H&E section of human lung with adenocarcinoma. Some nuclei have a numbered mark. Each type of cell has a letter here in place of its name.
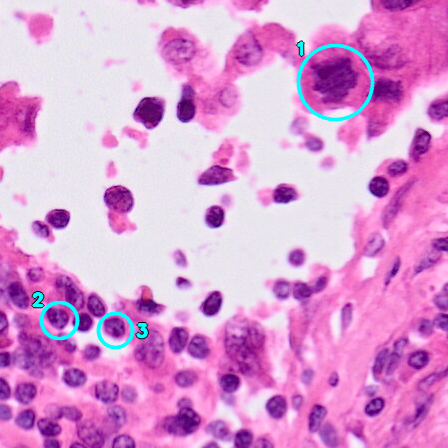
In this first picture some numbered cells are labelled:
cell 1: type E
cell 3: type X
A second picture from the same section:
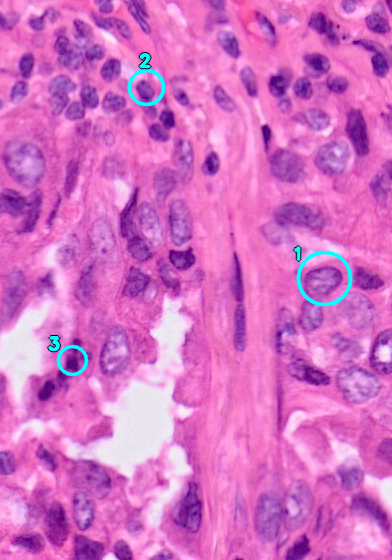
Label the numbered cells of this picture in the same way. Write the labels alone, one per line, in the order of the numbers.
type E
type X
type E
